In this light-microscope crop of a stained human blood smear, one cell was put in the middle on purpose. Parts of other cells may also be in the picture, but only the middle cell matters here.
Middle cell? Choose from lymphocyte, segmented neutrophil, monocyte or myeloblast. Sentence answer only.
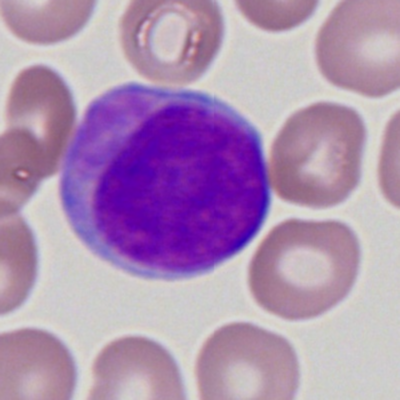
For this crop, the cell in the middle is a myeloblast.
